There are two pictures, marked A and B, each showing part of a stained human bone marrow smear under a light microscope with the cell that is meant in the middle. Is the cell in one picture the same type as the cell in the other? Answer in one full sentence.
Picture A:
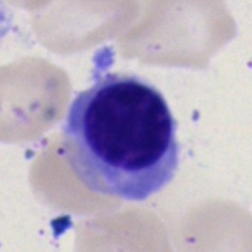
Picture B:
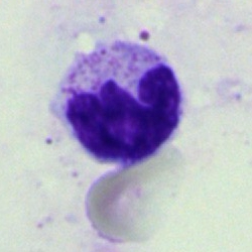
No, picture A shows an erythroblast and picture B shows a segmented neutrophil.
